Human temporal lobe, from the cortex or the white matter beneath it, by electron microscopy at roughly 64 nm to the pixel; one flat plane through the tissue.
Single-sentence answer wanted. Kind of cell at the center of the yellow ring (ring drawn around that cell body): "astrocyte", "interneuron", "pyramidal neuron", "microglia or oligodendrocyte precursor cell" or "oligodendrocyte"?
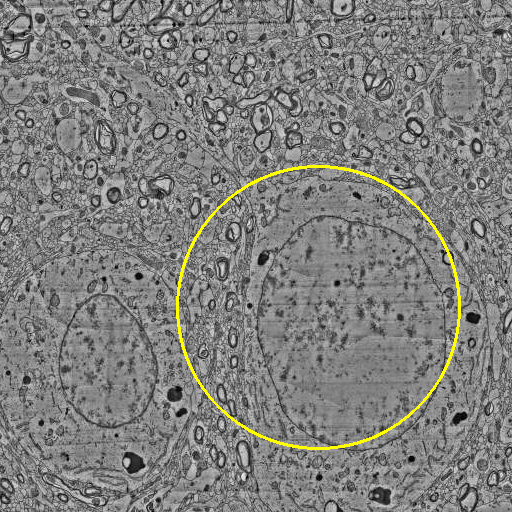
The cell centered in the ring is a pyramidal neuron.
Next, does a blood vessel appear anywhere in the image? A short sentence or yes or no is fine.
No, none is visible.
